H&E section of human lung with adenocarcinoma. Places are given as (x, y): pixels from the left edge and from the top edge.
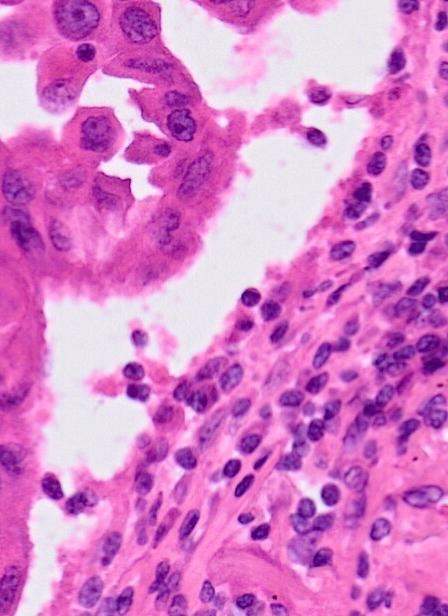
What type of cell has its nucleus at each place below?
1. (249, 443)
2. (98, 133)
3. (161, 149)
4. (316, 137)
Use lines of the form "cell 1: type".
cell 1: plasma cell
cell 2: carcinoma cell
cell 3: carcinoma cell
cell 4: lymphocyte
